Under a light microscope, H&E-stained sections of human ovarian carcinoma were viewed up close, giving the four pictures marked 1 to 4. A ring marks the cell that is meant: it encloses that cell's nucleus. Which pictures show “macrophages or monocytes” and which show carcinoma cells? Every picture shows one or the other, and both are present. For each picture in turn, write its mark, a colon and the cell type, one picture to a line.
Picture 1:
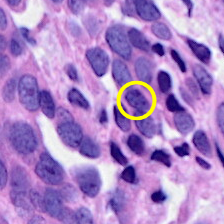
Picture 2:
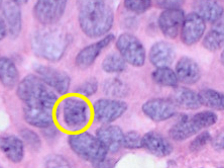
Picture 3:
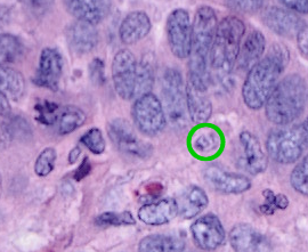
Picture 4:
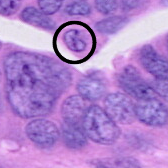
1: carcinoma cell
2: carcinoma cell
3: macrophage or monocyte
4: macrophage or monocyte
